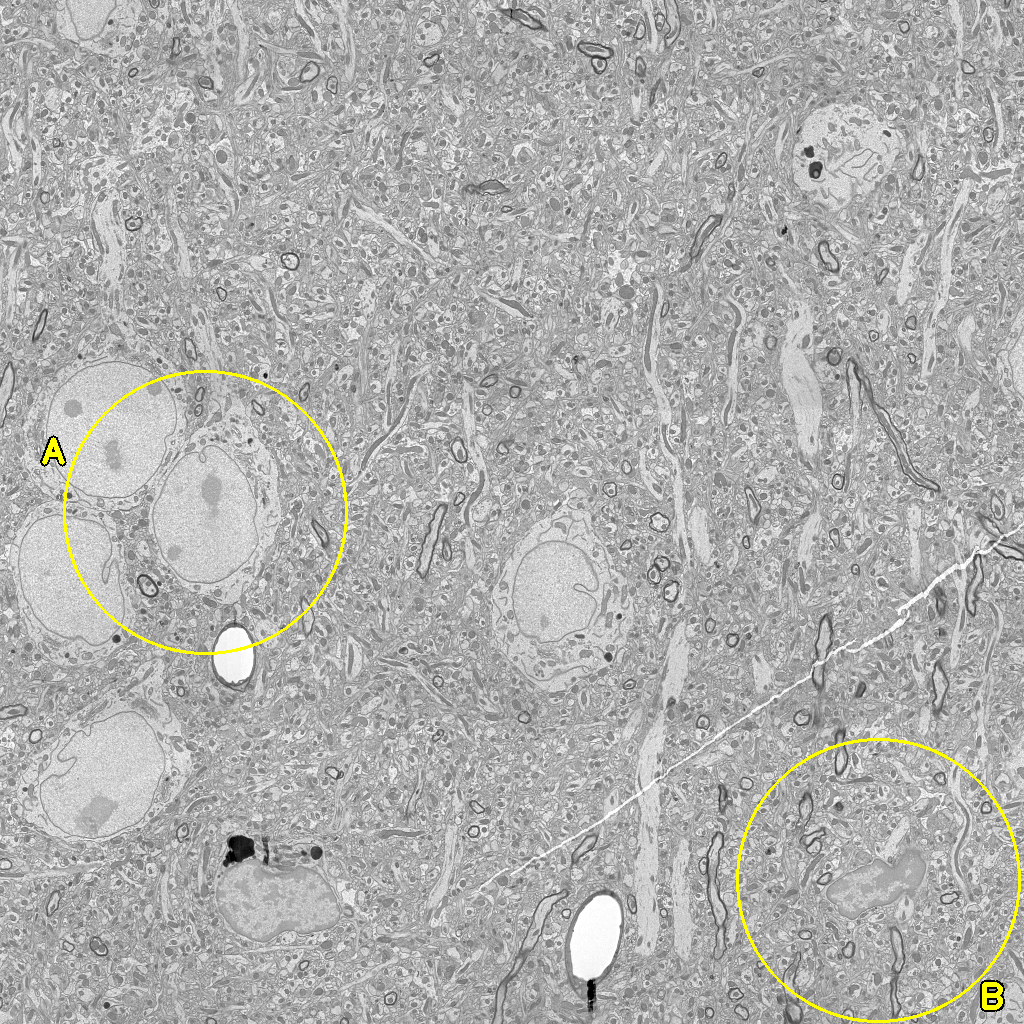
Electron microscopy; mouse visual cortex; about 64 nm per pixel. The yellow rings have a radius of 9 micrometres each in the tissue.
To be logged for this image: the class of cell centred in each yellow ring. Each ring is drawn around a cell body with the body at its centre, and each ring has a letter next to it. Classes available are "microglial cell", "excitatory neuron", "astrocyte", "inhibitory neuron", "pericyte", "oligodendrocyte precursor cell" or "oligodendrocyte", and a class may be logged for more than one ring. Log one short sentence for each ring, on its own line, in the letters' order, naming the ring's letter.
The class recorded for ring A is an excitatory neuron.
The class recorded for ring B is a microglial cell.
